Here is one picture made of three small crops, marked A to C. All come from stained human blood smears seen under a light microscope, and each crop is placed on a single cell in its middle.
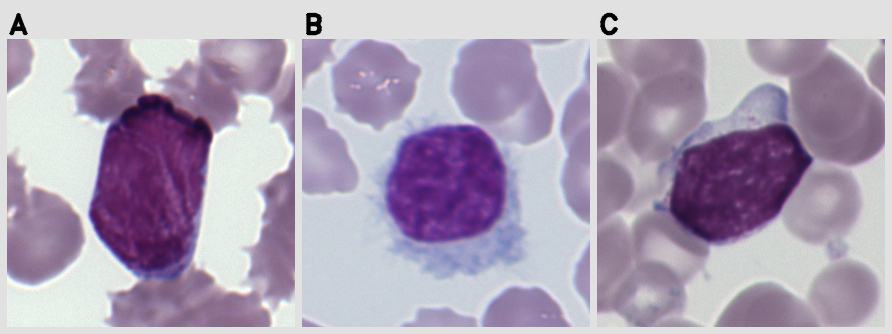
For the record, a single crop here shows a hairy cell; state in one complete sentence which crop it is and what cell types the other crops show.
Crop B is identified as a hairy cell, while crop A is a myeloblast and crop C is a large granular lymphocyte.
